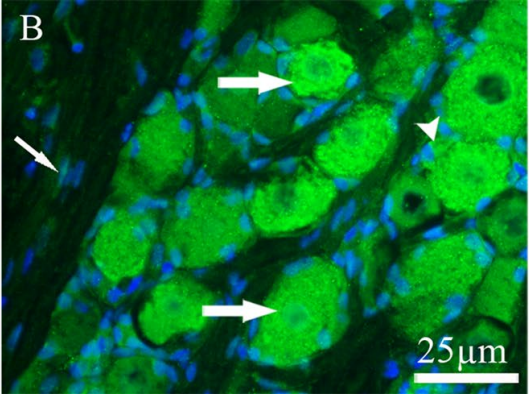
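Large rounded neuronal cell bodies fill most of the field, their cytoplasm finely granular green and many showing a round central nucleus. Small flattened cells with blue nuclei closely wrap the rims of the neuronal bodies, and at the left a band of nerve fibers carries elongated blue nuclei of Schwann cells lined up along the fibers.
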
